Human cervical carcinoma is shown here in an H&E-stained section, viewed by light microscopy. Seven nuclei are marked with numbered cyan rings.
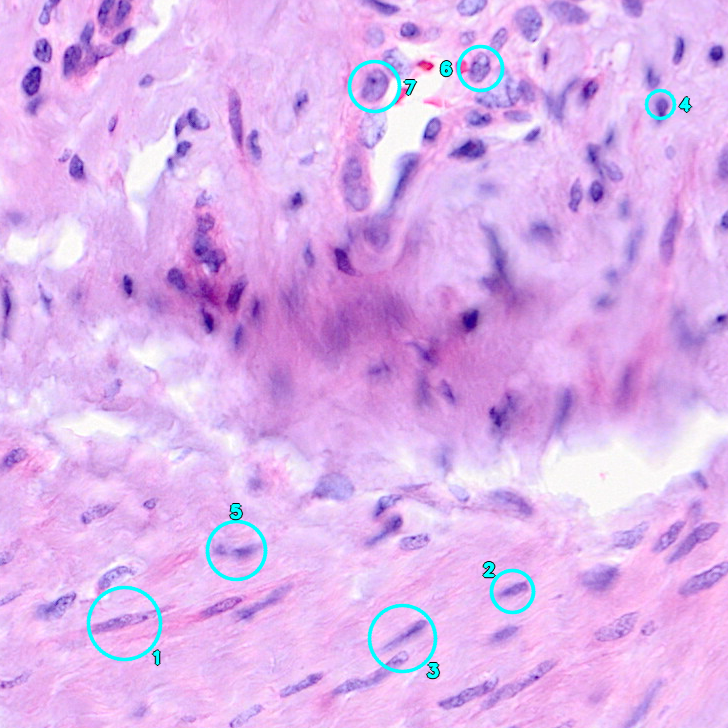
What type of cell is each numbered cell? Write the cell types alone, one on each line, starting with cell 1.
smooth muscle cell
fibroblast
fibroblast
fibroblast
fibroblast
endothelial cell
endothelial cell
